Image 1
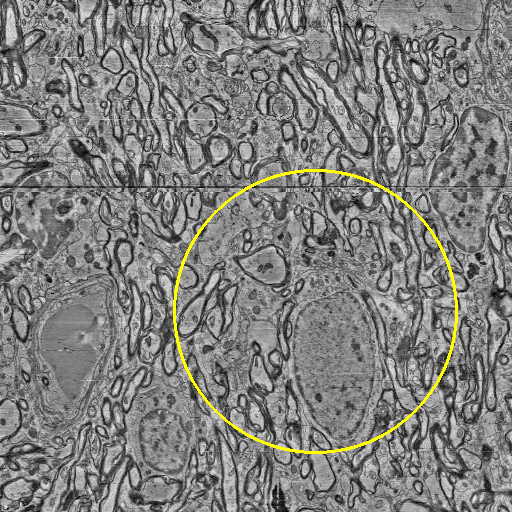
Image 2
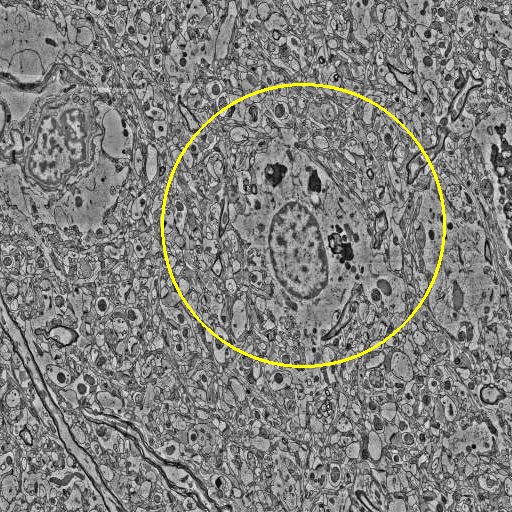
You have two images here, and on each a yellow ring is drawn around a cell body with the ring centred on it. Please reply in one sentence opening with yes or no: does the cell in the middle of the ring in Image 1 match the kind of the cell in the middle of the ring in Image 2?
Yes, the two images show cells of one kind at the centres of their rings.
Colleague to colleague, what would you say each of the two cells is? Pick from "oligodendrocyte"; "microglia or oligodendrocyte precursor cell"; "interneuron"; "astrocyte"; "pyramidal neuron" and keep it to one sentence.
The cell in the first picture is an astrocyte, and so is the one in the second.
